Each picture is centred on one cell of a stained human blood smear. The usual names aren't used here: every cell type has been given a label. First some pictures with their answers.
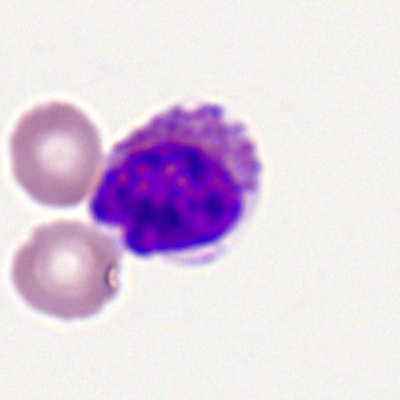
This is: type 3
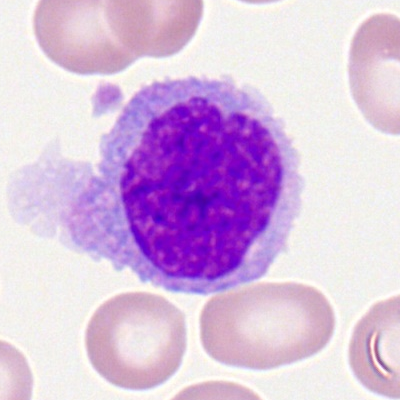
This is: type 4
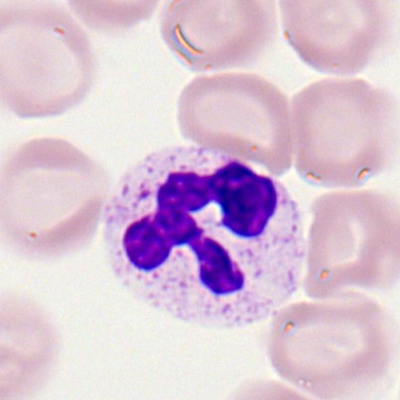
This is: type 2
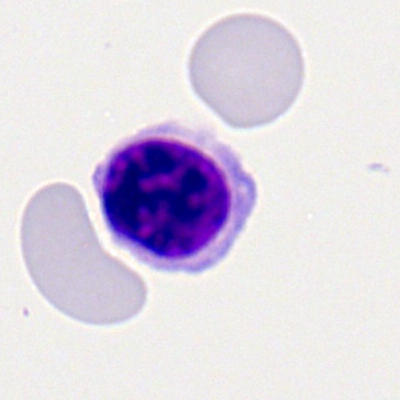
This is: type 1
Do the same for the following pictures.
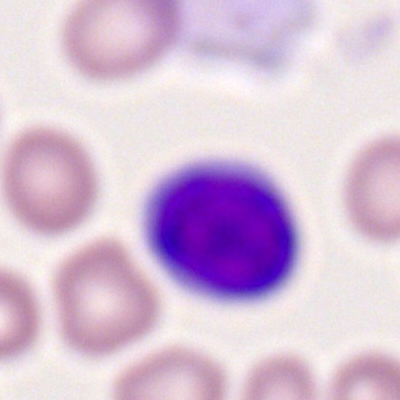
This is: type 1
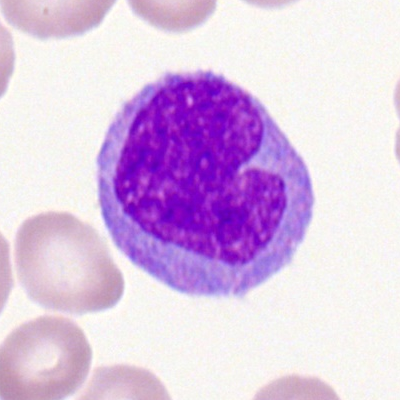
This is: type 4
